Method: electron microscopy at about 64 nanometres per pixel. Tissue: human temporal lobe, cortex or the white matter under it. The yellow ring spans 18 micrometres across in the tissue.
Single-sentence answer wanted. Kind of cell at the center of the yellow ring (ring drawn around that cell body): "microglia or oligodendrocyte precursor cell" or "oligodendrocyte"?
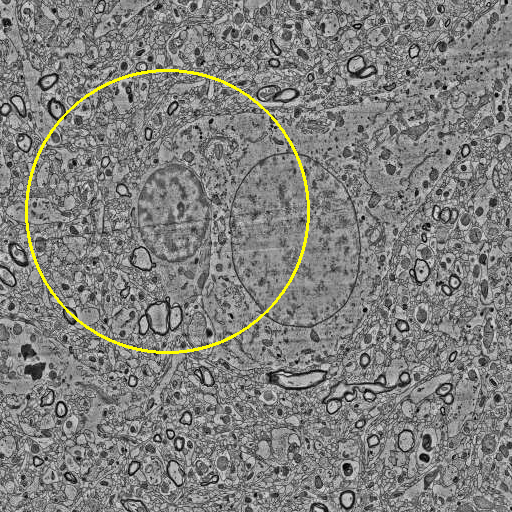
The cell centered in the ring is an oligodendrocyte.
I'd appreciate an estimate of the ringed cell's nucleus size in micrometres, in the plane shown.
The nucleus appears roughly 6 by 5 micrometres in this plane.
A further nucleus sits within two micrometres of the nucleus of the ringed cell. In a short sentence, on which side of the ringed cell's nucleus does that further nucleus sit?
The second nucleus is to the right of it.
